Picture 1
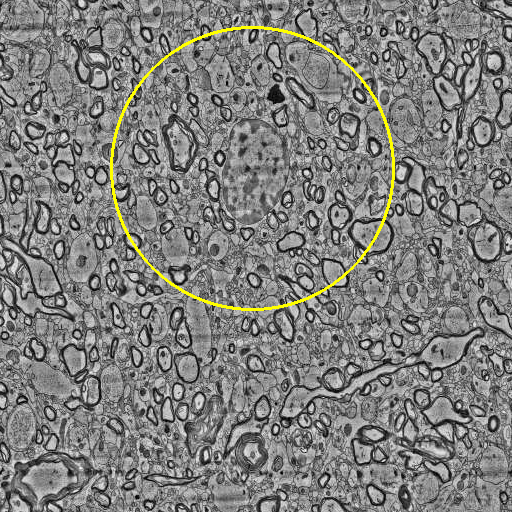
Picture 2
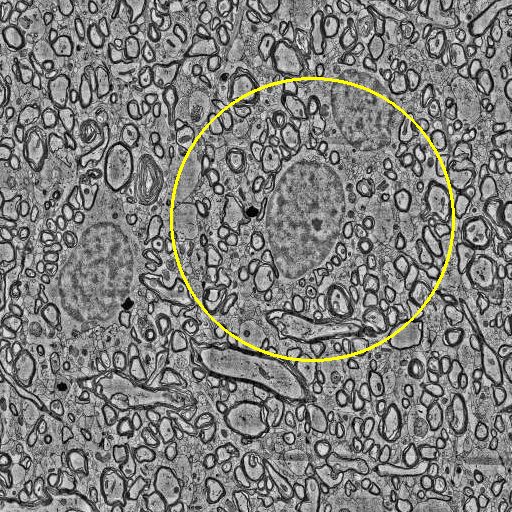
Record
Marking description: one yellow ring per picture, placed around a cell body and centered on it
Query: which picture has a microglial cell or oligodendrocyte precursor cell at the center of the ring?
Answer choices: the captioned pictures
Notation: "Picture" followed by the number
Picture 1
